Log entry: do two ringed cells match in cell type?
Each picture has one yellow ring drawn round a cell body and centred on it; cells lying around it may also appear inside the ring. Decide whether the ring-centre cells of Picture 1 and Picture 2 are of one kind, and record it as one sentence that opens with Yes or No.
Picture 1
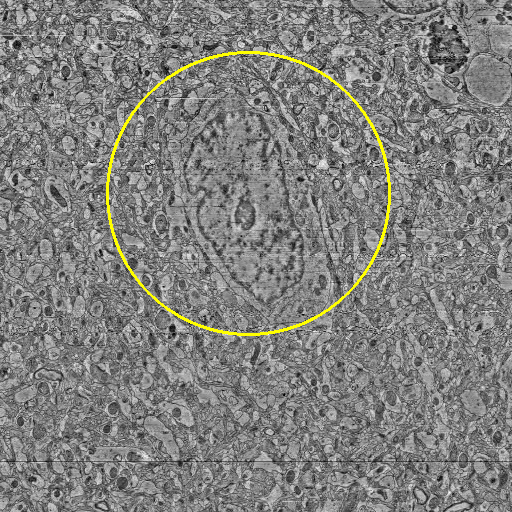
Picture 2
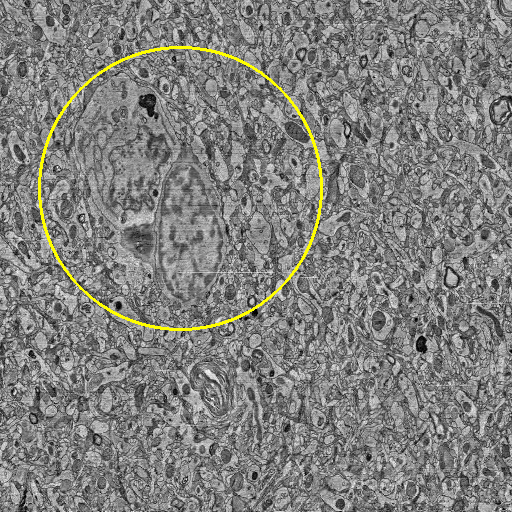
No, the cells at the ring centres of the two pictures belong to two kinds.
